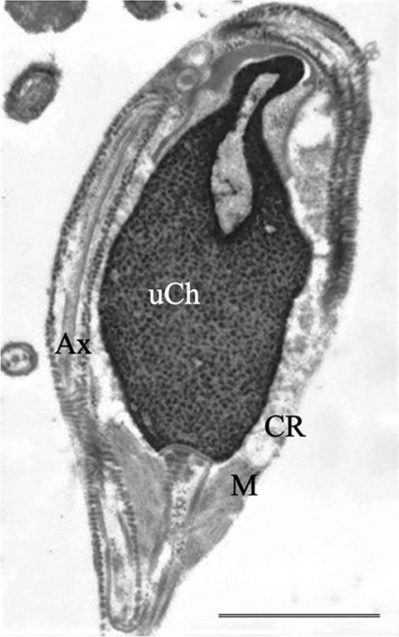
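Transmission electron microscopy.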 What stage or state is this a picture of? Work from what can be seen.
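The nucleus is irregular in outline with granular, not fully compacted chromatin. A wide cytoplasmic mass surrounds the head. Axoneme profiles are coiled around the head inside the cytoplasm. So: Immature sperm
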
